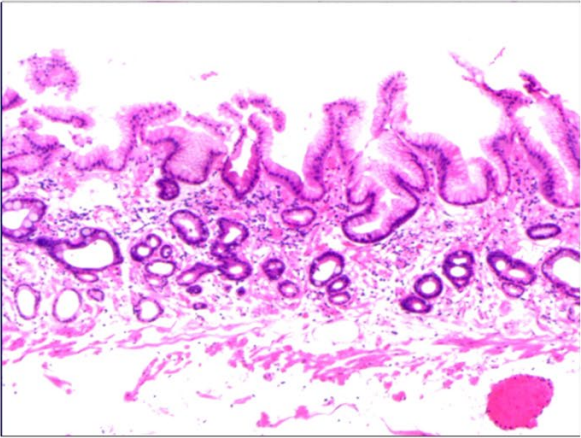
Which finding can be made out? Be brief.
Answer: Heavily atrophic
